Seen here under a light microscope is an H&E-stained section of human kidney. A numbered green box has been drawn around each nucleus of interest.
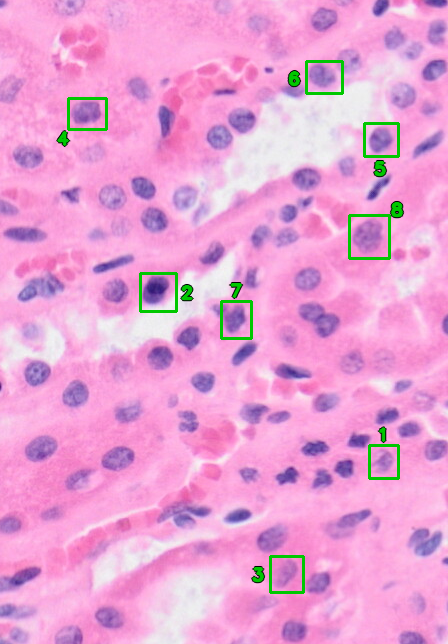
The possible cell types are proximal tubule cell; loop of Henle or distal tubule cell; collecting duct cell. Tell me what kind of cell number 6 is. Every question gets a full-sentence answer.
In this section, the cell numbered 6 is a loop of Henle or distal tubule cell.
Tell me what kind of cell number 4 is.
Cell number 4 in this section is a proximal tubule cell.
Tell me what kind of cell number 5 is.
The numbered cell 5 is identified here as a loop of Henle or distal tubule cell.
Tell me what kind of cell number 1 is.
In this section, the cell numbered 1 is a loop of Henle or distal tubule cell.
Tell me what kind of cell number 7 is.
Corresponding to a loop of Henle or distal tubule cell is the cell labelled 7.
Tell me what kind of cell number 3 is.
The numeral 3 marks a proximal tubule cell in this section.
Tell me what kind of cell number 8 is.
The numbered cell 8 is identified here as a proximal tubule cell.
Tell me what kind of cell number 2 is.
What the number 2 marks in this field is a loop of Henle or distal tubule cell.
